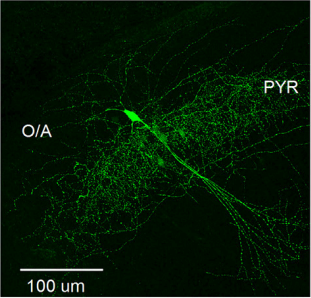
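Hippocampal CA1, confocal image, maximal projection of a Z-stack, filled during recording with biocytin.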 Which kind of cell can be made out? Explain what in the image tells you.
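One filled soma lies in the oriens/alveus region. A dense meshwork of fine beaded axon fills the pyramidal layer. Long dendrites radiate from the soma across layers.
Answer: basket cell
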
